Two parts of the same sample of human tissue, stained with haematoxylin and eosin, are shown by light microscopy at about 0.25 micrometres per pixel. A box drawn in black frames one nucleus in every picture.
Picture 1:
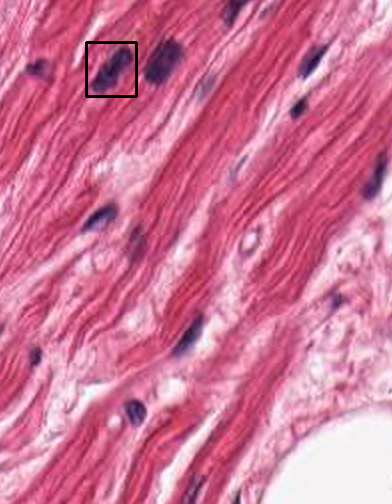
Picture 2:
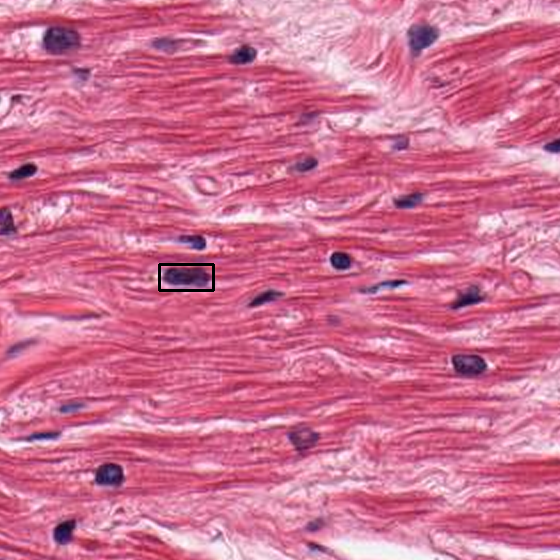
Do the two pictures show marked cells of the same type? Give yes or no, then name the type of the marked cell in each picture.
Yes, both are cardiomyocytes.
